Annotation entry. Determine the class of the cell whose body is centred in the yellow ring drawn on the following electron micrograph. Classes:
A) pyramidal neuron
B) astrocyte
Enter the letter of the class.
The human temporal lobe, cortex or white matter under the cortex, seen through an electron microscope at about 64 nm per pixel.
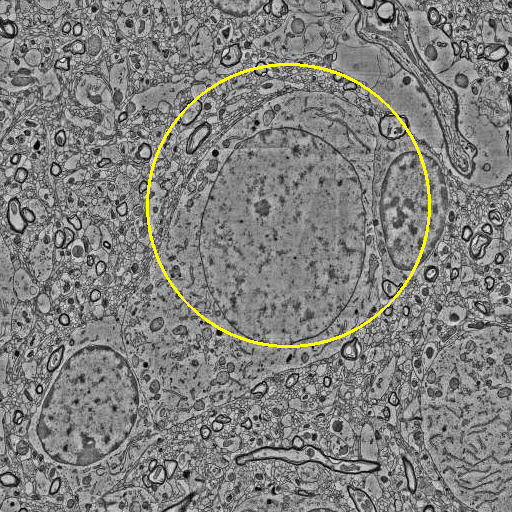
A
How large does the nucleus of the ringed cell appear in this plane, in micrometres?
Approximately 14 x 11 micrometres in this plane.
